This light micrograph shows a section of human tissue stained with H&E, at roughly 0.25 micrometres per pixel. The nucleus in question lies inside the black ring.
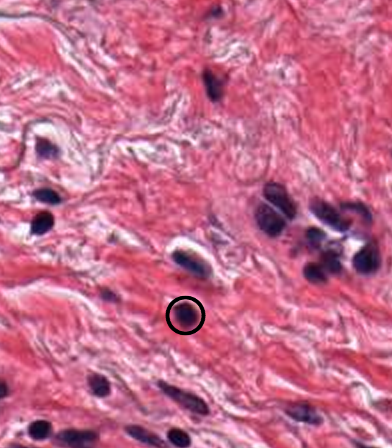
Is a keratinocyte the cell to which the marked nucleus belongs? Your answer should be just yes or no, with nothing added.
no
